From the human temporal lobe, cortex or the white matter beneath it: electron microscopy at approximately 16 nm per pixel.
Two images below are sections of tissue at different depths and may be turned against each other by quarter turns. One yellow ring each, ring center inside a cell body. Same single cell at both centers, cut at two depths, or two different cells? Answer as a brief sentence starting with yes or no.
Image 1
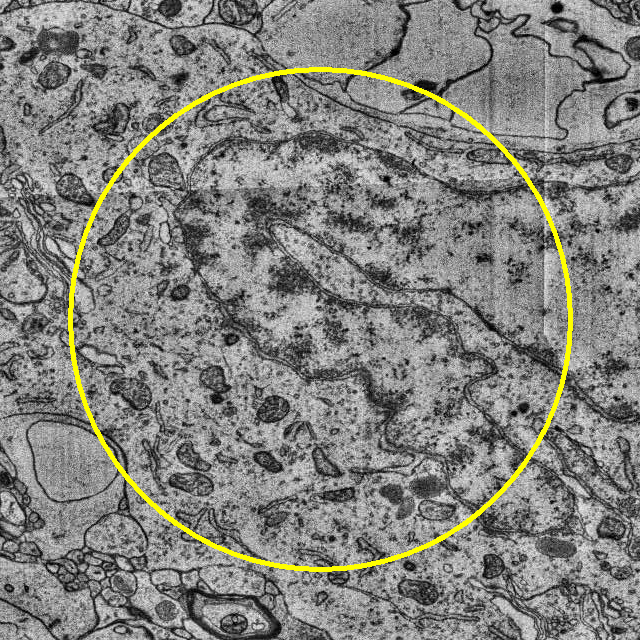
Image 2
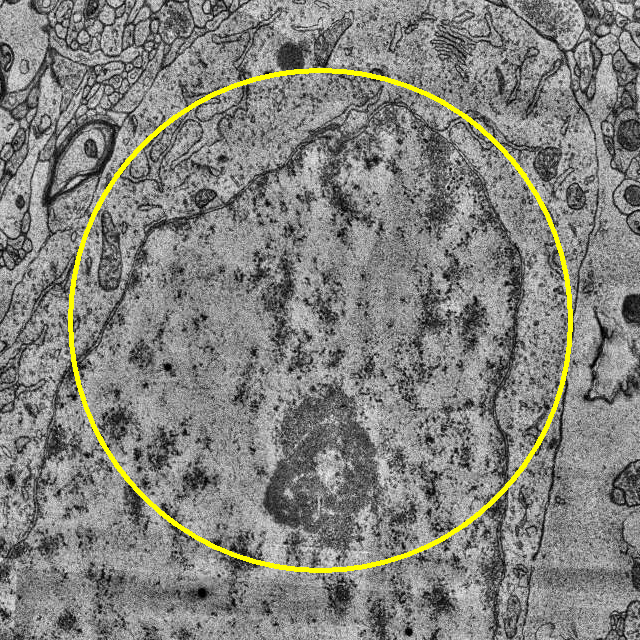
Yes, these two rings point to one cell rather than two.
